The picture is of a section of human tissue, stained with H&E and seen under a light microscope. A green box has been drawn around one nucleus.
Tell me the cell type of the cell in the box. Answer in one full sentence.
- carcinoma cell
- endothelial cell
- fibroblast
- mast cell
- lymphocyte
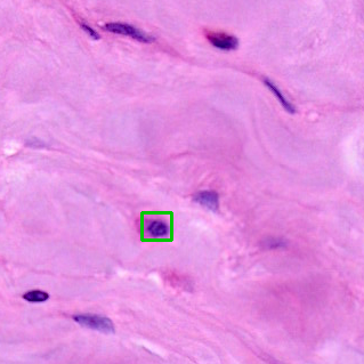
The identity of the cell in the box: it is a mast cell.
